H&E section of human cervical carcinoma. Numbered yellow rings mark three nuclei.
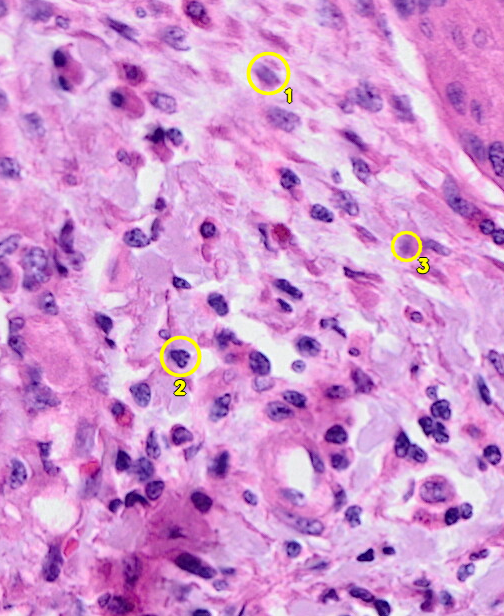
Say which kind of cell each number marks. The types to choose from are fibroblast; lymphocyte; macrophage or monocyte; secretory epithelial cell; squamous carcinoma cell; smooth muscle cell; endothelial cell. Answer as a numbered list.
1. fibroblast
2. lymphocyte
3. fibroblast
